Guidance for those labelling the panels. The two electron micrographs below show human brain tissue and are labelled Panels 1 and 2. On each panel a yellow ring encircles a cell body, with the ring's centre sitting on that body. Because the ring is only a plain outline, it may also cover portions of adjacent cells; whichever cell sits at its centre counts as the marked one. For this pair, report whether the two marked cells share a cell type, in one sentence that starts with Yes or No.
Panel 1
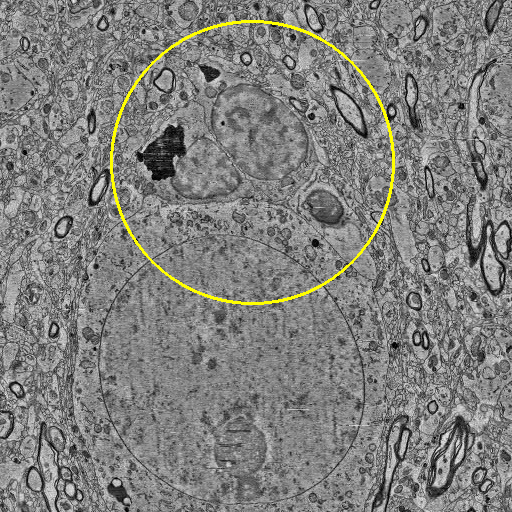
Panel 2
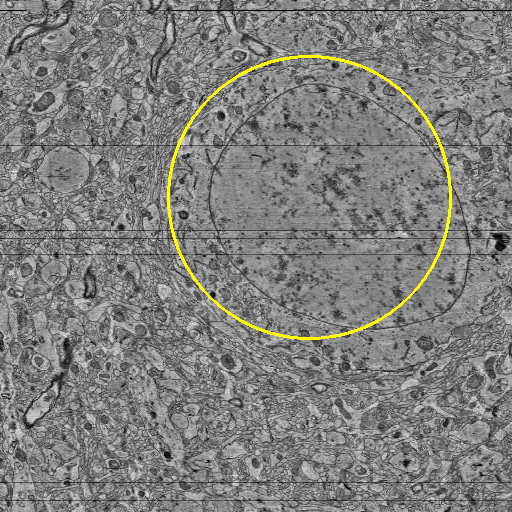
No, in Panel 1 and Panel 2 the marked cells at the ring centres are of two types.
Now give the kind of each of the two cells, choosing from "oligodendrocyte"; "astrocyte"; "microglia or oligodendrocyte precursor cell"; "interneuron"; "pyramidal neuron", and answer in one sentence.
The cell in the first picture is an oligodendrocyte, and the cell in the second is a pyramidal neuron.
